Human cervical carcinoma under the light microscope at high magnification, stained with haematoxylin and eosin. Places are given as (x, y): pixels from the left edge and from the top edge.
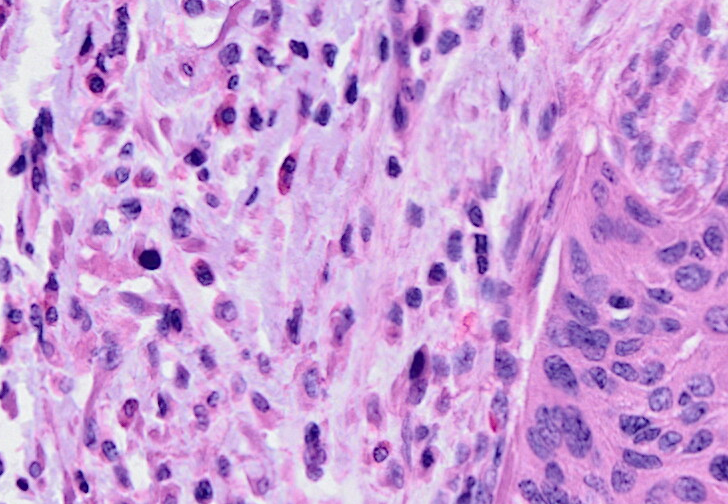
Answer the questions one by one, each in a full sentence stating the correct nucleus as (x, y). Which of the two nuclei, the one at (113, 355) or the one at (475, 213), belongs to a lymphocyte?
Identify the nucleus at (475, 213) as the one belonging to a lymphocyte.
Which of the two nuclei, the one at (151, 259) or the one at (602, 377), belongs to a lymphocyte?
Which one belongs to a lymphocyte? The nucleus at (151, 259) does.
